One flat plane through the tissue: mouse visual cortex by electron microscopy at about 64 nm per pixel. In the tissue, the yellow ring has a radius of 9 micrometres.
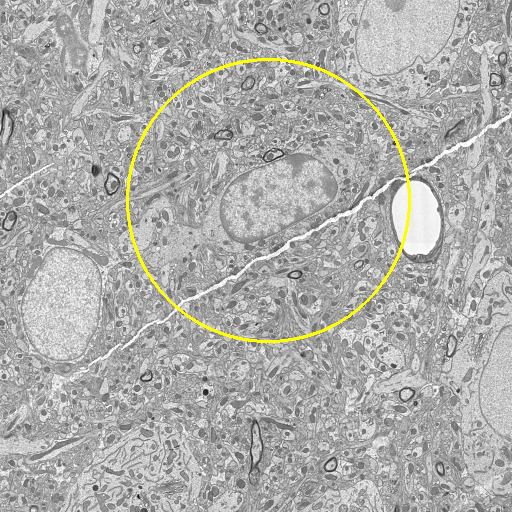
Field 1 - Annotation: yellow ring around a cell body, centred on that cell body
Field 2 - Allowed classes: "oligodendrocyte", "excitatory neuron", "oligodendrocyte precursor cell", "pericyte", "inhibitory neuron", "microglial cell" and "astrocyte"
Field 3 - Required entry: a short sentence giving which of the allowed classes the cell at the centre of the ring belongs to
The centred cell is an oligodendrocyte.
